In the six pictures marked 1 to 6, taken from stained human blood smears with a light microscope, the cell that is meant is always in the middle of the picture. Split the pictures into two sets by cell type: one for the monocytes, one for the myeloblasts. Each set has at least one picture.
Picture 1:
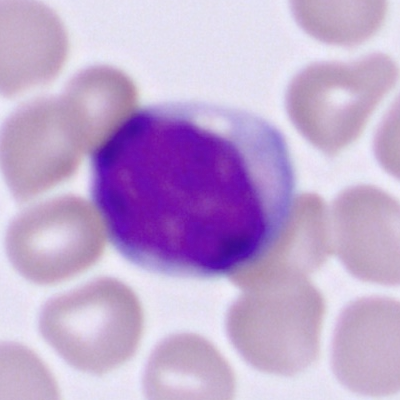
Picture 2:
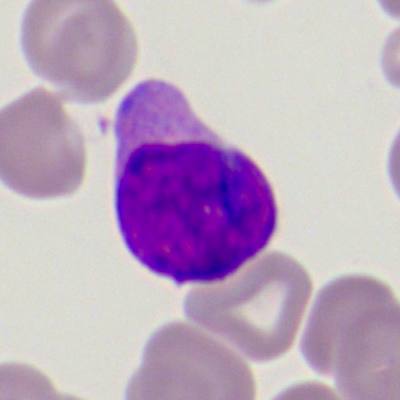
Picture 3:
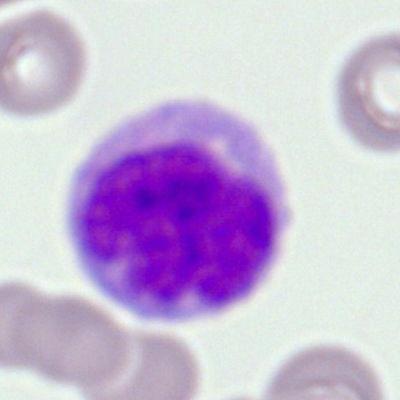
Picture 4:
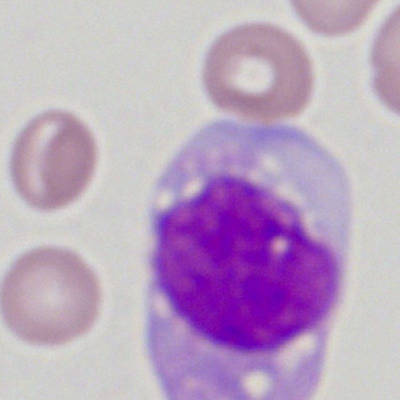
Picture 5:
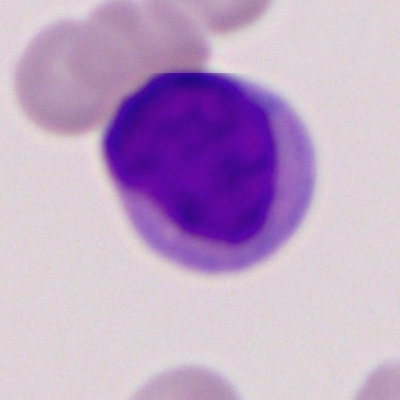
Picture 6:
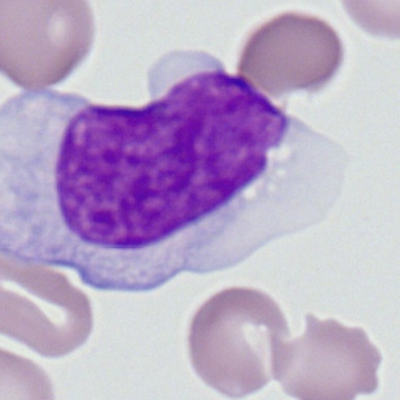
1: myeloblast
2: myeloblast
3: monocyte
4: monocyte
5: myeloblast
6: monocyte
